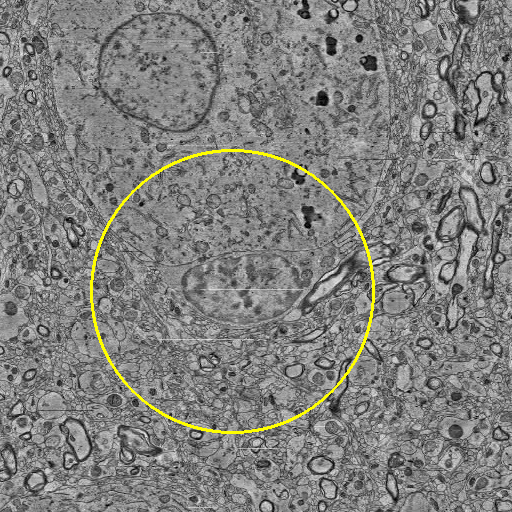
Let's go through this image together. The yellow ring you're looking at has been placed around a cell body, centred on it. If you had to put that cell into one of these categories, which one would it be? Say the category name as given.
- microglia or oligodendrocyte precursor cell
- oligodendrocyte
oligodendrocyte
